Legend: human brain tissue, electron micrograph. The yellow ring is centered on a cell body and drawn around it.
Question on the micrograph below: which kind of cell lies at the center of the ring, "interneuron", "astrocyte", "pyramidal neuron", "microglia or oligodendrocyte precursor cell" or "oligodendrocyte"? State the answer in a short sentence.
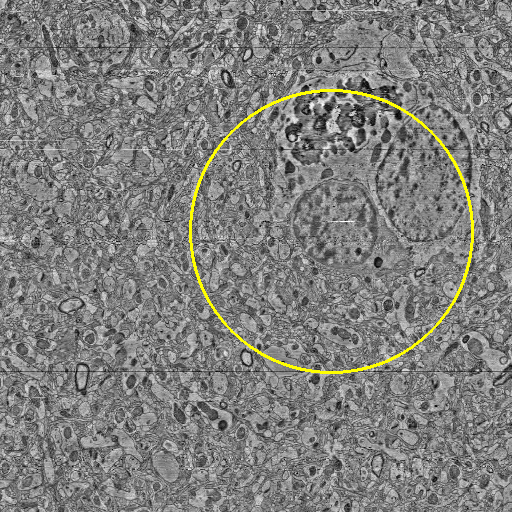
At the center of the ring lies an oligodendrocyte.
